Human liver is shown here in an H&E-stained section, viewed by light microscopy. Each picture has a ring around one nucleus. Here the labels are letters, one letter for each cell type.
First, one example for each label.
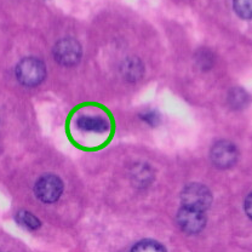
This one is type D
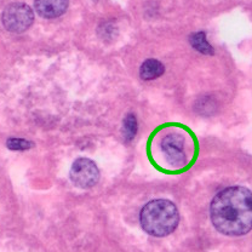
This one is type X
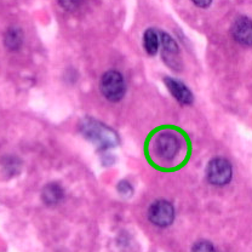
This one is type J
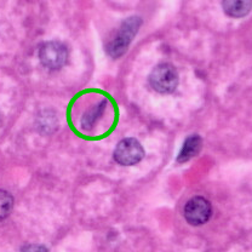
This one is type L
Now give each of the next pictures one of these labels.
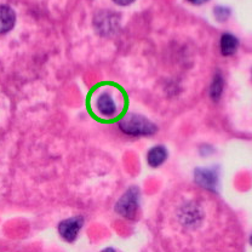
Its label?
type D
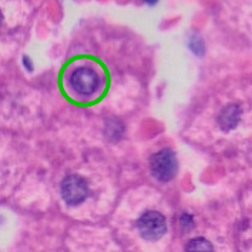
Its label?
type J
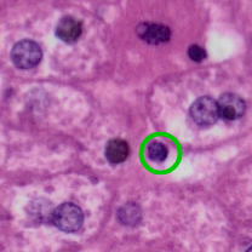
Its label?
type D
